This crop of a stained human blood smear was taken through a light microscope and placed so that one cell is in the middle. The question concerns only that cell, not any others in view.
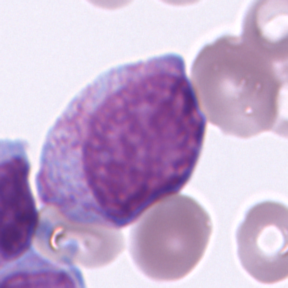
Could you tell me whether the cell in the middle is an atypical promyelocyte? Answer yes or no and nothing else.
yes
